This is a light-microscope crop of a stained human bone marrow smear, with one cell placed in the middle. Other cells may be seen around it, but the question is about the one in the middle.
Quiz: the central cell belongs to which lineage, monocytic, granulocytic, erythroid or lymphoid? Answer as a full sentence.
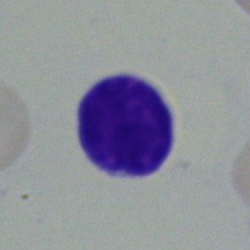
Of the possible lineages, the central cell belongs to the lymphoid lineage.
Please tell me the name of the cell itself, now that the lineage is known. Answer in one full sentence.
In the center of this field lies a lymphocyte.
